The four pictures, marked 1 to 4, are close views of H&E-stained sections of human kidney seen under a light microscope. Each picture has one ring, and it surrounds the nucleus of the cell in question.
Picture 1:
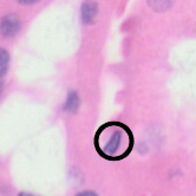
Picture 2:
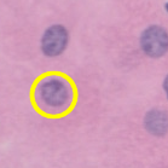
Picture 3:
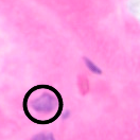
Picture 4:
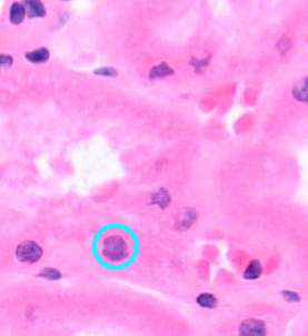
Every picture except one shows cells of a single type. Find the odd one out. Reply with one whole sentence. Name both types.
The others show proximal tubule cells, but picture 1 shows an endothelial cell.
